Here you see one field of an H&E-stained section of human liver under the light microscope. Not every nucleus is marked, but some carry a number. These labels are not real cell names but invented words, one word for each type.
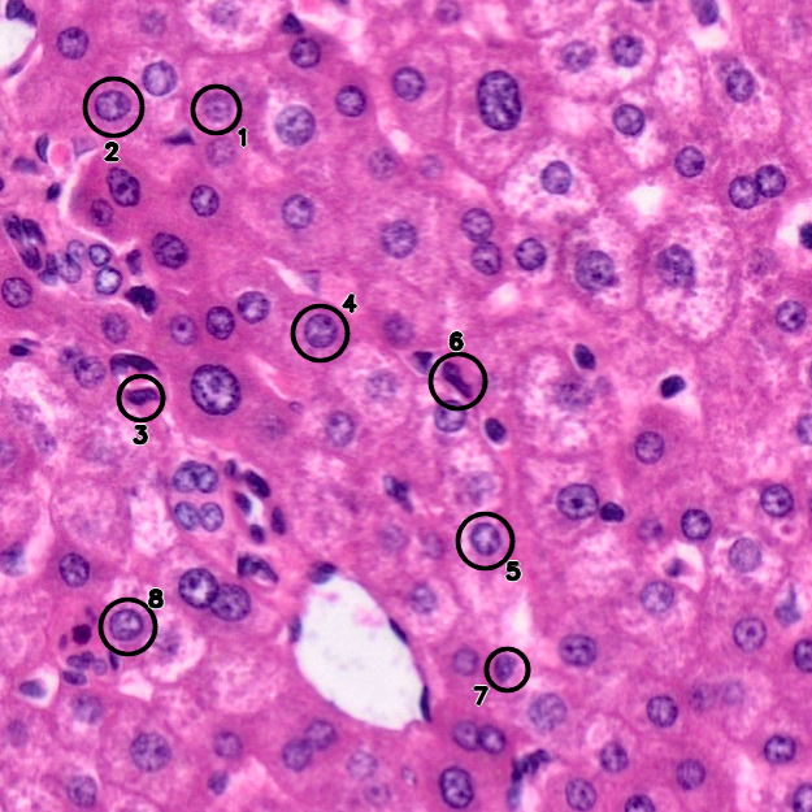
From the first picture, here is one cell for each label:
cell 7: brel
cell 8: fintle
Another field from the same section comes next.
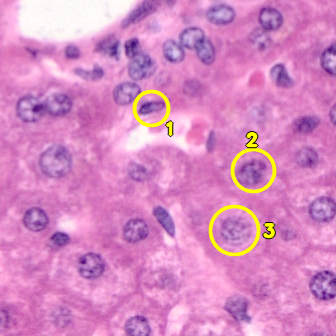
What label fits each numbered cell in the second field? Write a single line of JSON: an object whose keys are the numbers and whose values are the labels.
{"1": "brel", "2": "fintle", "3": "fintle"}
